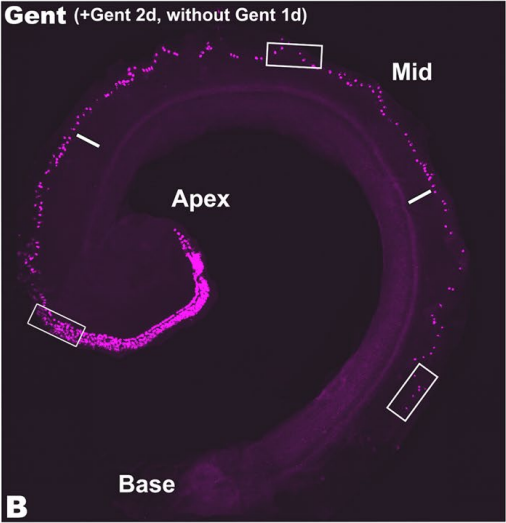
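This is a whole-mount of a cochlea at low magnification in which the sensory strip of hair cells is largely lost. Along most of the spiral only isolated magenta dots remain, scattered along the outer edge of the coil, with long stretches nearly empty. Only the innermost end of the coil keeps a dense band of labelled cells, though it looks crowded and disordered rather than in neat rows. The outer lower end of the spiral carries almost no labelled cells.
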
